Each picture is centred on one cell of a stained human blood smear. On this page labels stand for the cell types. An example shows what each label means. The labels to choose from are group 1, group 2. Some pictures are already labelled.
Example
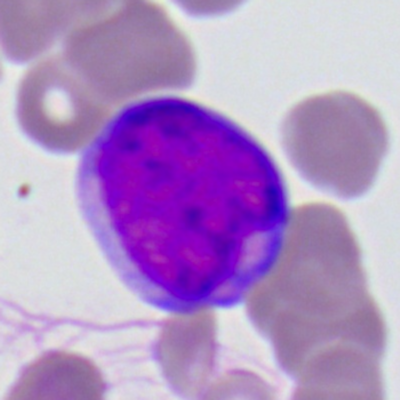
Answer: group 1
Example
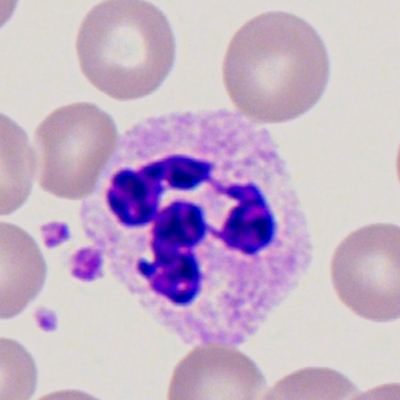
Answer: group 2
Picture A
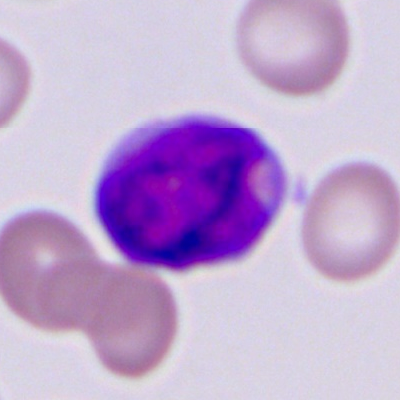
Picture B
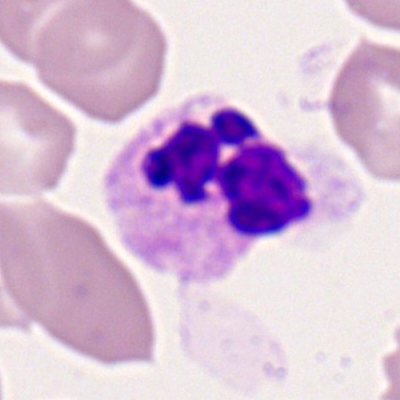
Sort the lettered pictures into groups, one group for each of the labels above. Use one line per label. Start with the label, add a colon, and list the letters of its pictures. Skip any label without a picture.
group 1: A
group 2: B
